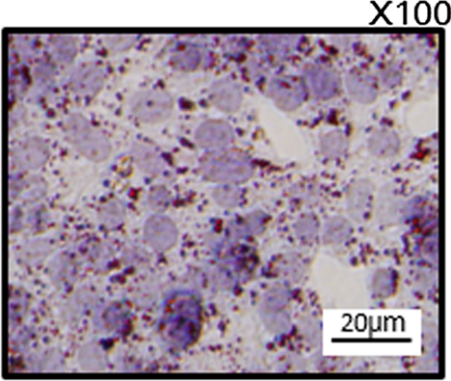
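The nuclei are spread fairly evenly across the field, some darker purple-blue than others. A few clear, unstained gaps lie between groups of cells.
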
